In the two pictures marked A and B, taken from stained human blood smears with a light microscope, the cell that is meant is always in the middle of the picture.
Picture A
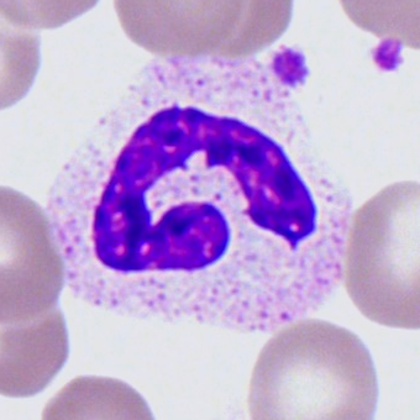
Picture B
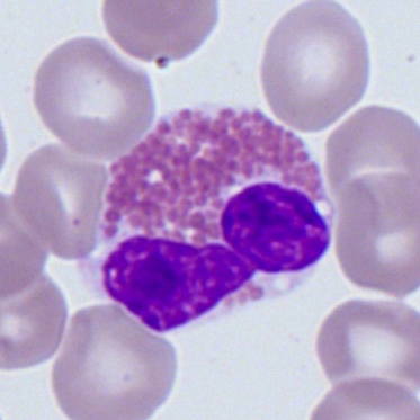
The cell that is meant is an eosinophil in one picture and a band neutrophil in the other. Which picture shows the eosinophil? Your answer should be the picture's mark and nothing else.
B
